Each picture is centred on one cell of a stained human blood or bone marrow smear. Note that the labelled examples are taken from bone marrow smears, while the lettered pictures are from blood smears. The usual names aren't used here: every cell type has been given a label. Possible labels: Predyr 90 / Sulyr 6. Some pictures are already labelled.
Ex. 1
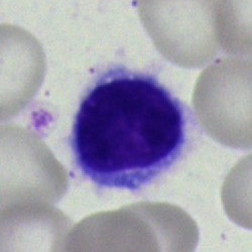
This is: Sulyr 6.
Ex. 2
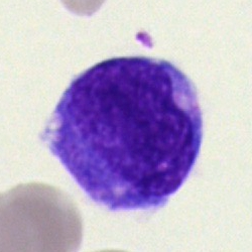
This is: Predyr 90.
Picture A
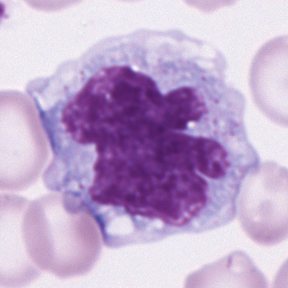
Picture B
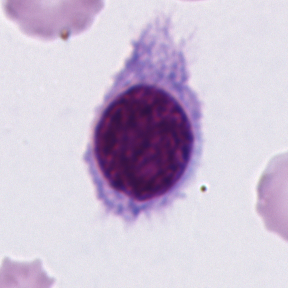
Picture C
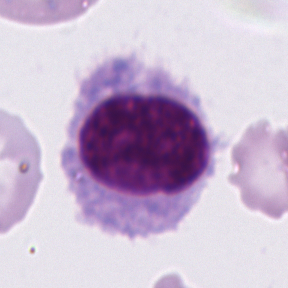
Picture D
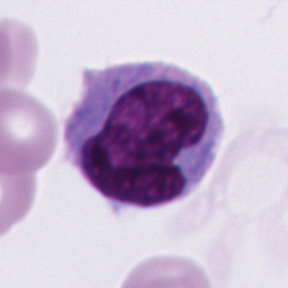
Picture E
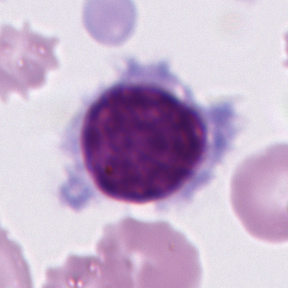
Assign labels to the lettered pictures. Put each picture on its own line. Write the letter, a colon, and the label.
A: Predyr 90.
B: Sulyr 6.
C: Sulyr 6.
D: Predyr 90.
E: Sulyr 6.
